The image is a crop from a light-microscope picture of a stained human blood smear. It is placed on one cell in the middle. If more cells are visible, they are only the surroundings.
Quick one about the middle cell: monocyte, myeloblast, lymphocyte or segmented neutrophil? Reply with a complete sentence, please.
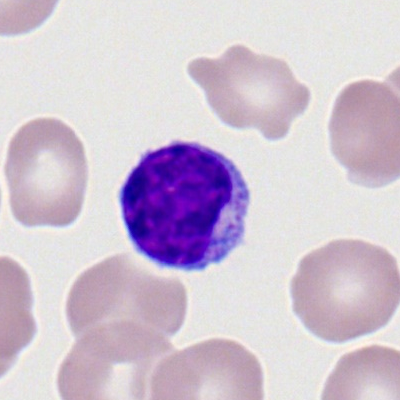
The cell shown in the center of this light-microscope crop is a lymphocyte.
